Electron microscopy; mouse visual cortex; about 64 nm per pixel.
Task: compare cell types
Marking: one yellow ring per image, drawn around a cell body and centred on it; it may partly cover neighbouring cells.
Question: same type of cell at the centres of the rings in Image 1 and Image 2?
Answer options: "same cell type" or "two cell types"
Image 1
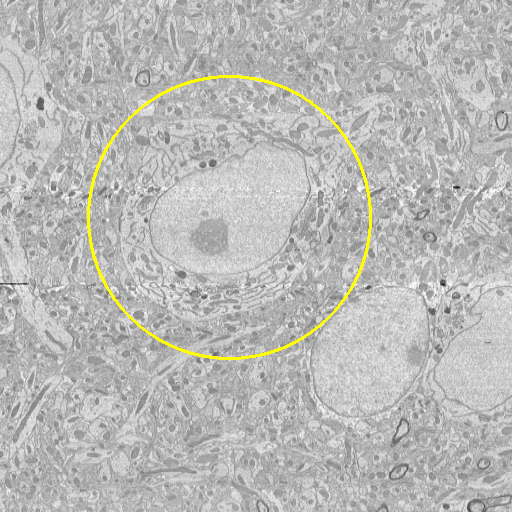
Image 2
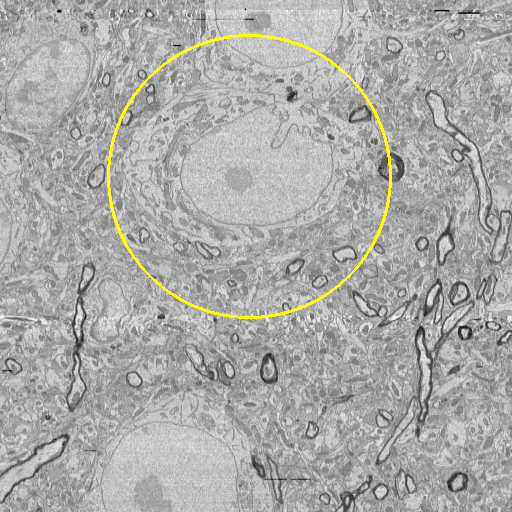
same cell type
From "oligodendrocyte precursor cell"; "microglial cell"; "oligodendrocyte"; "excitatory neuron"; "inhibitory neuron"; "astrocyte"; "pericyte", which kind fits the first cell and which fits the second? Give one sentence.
The ring centre holds an inhibitory neuron in each of the two pictures.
